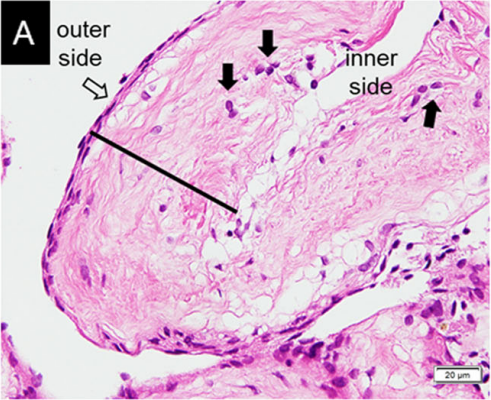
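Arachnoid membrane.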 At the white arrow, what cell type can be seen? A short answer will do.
barrier cell layer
